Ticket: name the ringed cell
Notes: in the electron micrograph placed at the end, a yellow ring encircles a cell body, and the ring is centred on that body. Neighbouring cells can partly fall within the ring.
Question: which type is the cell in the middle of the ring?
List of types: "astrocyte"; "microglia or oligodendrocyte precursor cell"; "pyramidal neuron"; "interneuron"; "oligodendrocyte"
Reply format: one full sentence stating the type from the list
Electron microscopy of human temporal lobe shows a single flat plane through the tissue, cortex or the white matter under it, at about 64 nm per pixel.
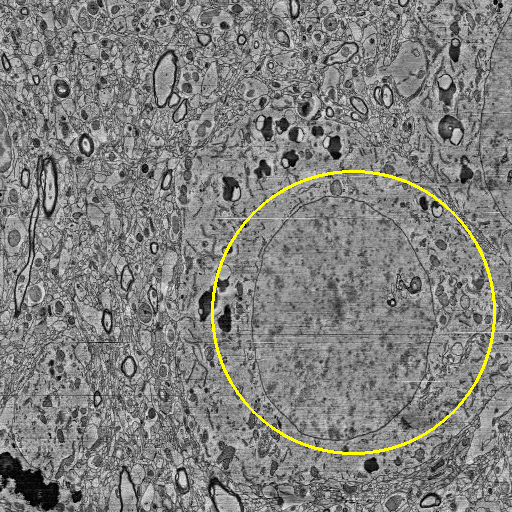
The cell sitting at the centre of the yellow ring is a pyramidal neuron.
